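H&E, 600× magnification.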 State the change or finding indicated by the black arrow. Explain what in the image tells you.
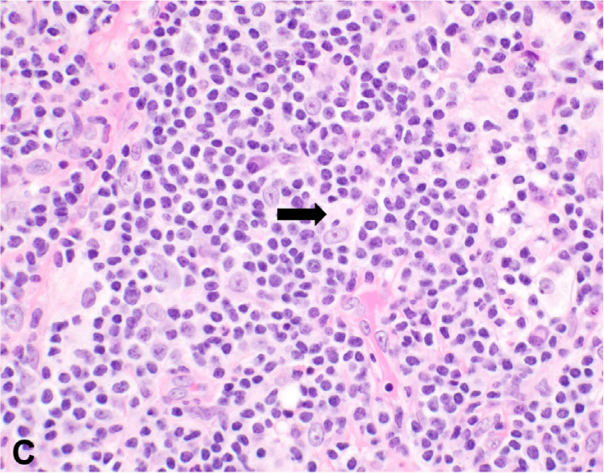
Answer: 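The arrow points to a large cell with pale cytoplasm. Small round dark nuclei lie within the large cell's cytoplasm.
Answer: Emperipolesis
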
